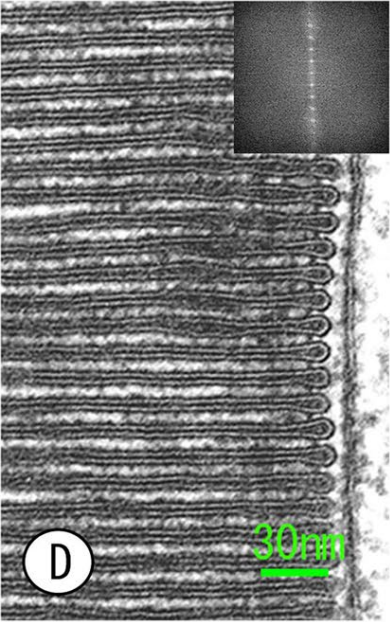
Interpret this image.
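Dozens of thin, flattened membrane sacs lie stacked one above another, each seen as a pair of dark parallel lines enclosing a narrow pale space, and the sacs are separated by slightly wider gaps of paler material. The stack is strikingly regular, running horizontally across the field. On the right the sacs end in rounded, closed hairpin rims lined up in a column, and just beyond them a single continuous membrane runs vertically, with fuzzy extracellular material outside it. This is the stacked disk array of a photoreceptor rod outer segment, its disk rims facing the enclosing cell membrane.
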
